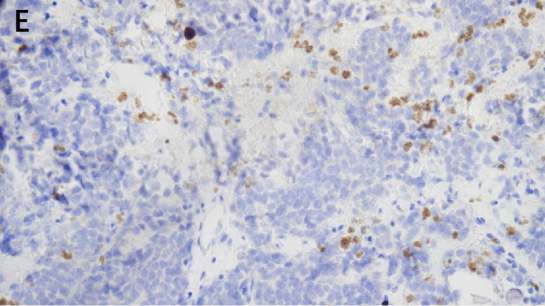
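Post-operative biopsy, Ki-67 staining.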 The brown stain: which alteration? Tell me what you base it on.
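Only a few scattered nuclei are brown. Most nuclei are blue. The answer: low proliferative index.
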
